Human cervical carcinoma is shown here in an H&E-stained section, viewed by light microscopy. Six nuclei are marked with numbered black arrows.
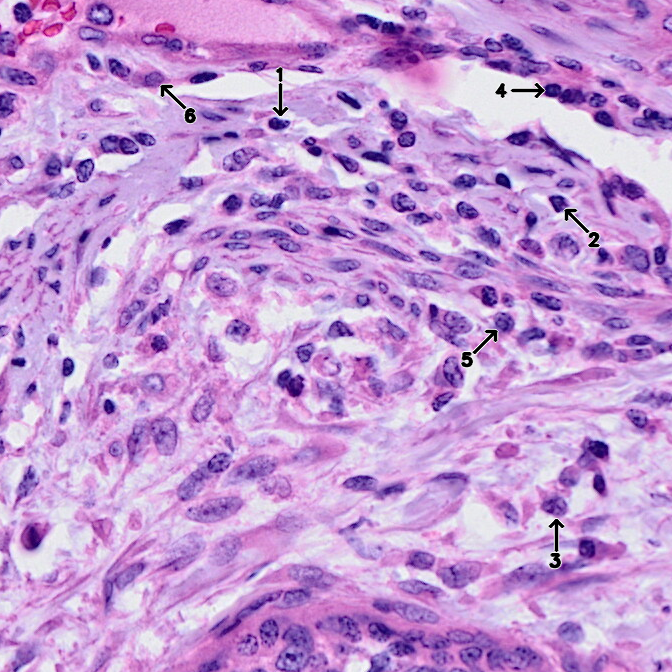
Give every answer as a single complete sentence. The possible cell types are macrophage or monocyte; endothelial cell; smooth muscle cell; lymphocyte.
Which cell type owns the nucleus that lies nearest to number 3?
Number 3 lies closest to the nucleus of a macrophage or monocyte.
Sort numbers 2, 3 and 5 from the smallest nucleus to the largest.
By area, going up from the smallest, they rank 2, 5, 3.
